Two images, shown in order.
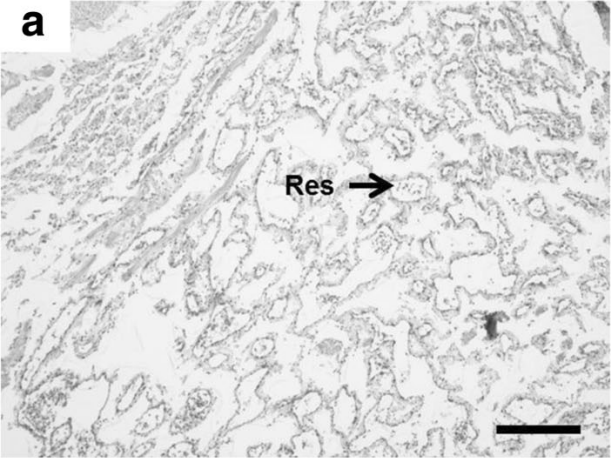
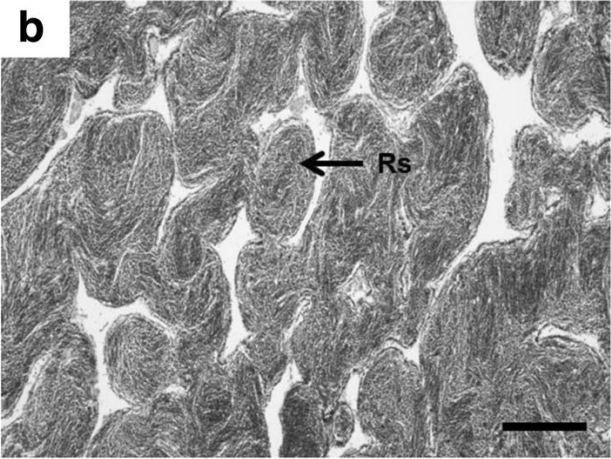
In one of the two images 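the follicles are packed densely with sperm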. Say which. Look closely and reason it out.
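Second image: large follicles filled with dense, dark, streaming sperm masses. First image: follicles mostly empty, with only scattered small dots inside.
Answer: the second image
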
